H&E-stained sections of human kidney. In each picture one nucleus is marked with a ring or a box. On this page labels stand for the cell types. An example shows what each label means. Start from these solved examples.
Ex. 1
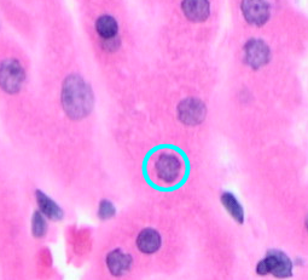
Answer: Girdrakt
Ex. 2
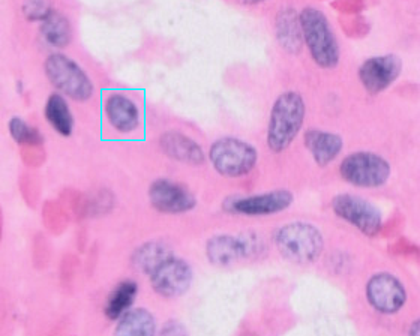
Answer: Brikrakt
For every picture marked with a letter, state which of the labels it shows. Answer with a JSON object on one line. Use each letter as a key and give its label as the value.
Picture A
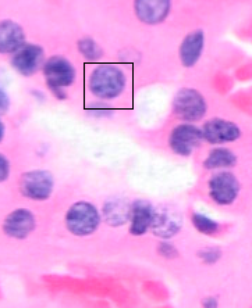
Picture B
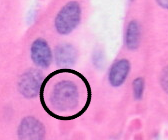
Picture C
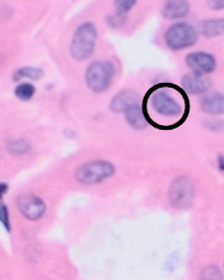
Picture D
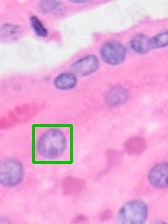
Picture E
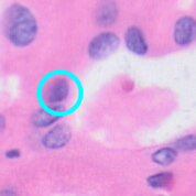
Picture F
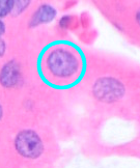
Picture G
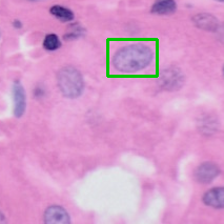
{"A": "Brikrakt", "B": "Brikrakt", "C": "Brikrakt", "D": "Girdrakt", "E": "Brikrakt", "F": "Girdrakt", "G": "Girdrakt"}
